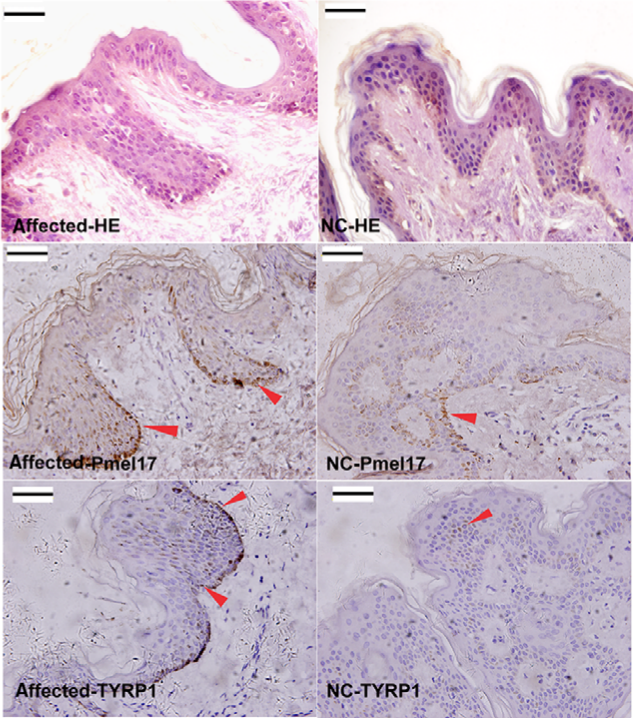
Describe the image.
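The sections show epidermis: a stratified epithelium of many layers of cells with round to oval nuclei rests on a looser connective tissue that holds scattered spindle-shaped nuclei. The epithelium projects downward into the underlying tissue as broad rounded ridges, and a thin flattened layer lies on its surface. In the pink and purple stained sections the nuclei are dark purple and the cytoplasm is pink. In the other sections the nuclei are pale blue, and brown granular deposits gather mostly along the bottom edge of the epithelium at the tips of the ridges. Red arrowheads point to clusters of these brown cells.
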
